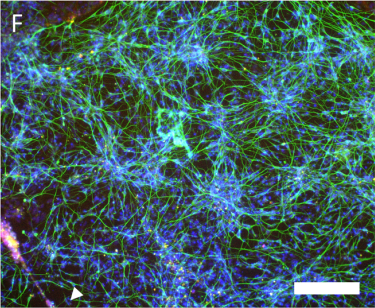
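Neuronal culture with an evenly distributed network rather than large clusters. Fine green neurites form a continuous meshwork over the whole field. Blue nuclei gather in many small, evenly spaced nodes joined by the neurites. Red staining is sparse, seen mainly at the lower left edge. No large bright cell aggregates with radiating bundles are present.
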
